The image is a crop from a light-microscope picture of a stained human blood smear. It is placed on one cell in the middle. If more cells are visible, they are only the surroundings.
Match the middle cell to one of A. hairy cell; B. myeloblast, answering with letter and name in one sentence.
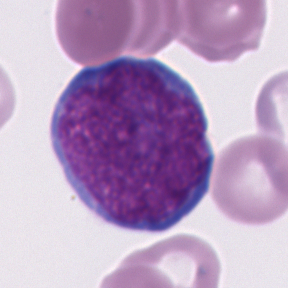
Option B correctly names the cell in the middle as a myeloblast.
